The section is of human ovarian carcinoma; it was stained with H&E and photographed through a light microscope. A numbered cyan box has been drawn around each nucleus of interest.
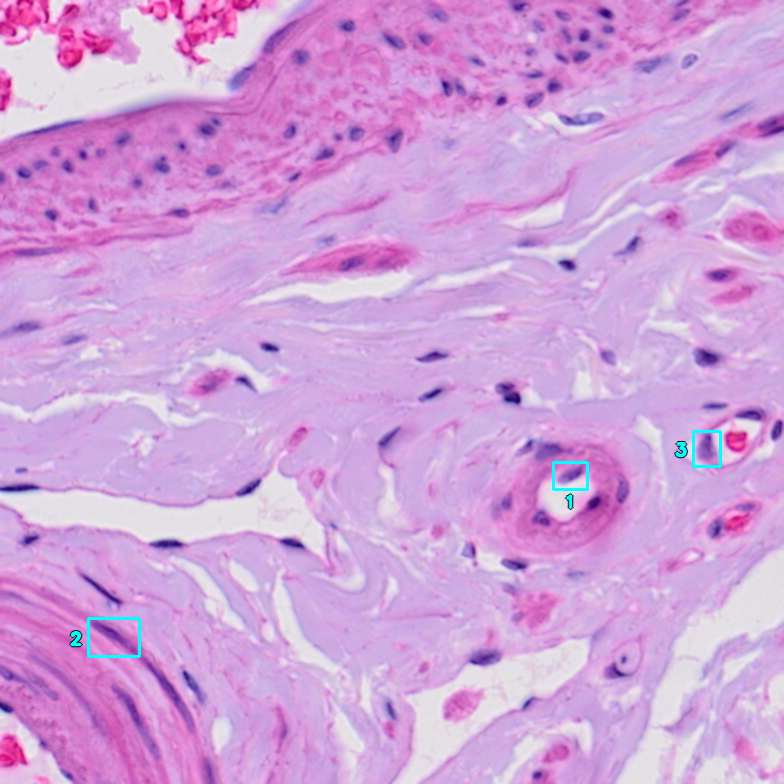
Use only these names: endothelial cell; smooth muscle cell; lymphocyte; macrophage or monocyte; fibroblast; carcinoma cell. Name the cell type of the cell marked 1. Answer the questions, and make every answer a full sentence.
The numbered cell 1 is identified here as an endothelial cell.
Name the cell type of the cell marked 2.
Number 2 among the marked cells is a smooth muscle cell.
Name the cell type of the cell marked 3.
The cell numbered 3 represents an endothelial cell.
